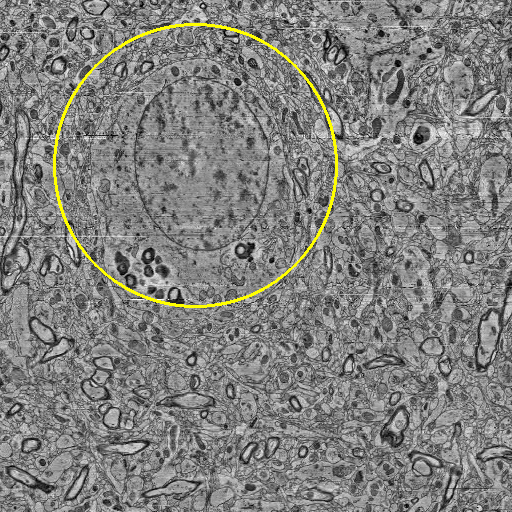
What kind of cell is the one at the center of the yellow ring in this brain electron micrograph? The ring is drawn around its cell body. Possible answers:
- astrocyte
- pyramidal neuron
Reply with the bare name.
pyramidal neuron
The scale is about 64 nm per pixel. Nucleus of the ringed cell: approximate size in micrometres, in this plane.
In this plane the nucleus spans approximately 12 by 9 micrometers.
